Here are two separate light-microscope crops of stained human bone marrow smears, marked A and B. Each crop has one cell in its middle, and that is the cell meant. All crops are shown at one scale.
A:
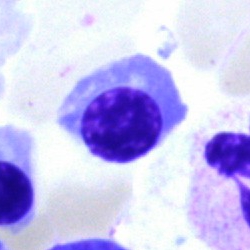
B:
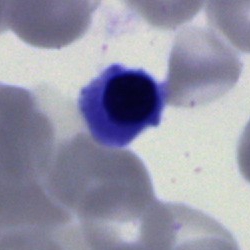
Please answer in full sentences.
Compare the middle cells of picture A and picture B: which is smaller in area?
Picture B holds the smaller cell, since the cell in picture A covers about 2 times as much area.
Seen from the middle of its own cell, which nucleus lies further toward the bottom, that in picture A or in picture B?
The nucleus in picture A lies further toward the bottom of its cell.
